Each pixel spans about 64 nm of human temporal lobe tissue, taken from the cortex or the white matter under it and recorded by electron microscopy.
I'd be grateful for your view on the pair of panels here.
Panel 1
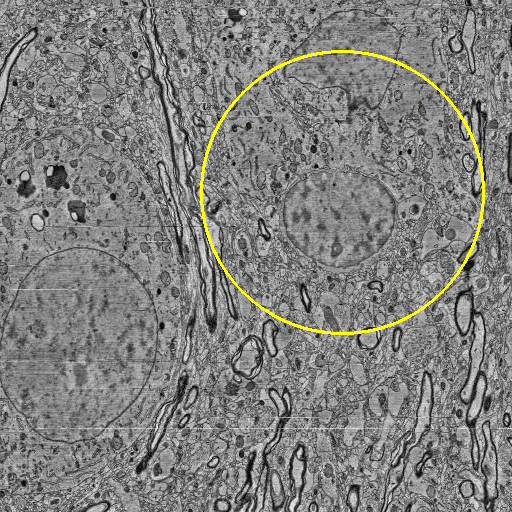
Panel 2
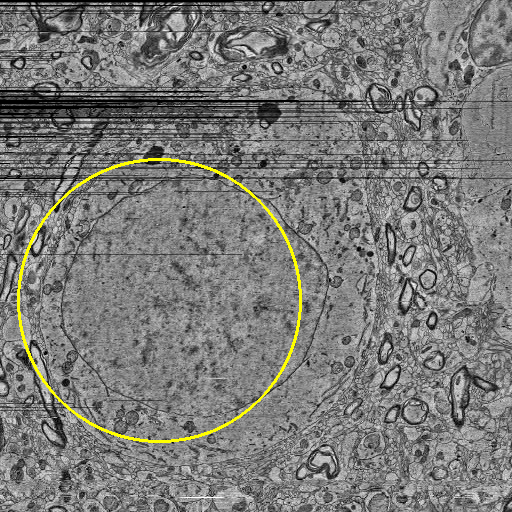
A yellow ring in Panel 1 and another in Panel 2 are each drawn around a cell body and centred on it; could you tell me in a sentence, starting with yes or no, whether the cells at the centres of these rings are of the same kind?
No, they are two kinds of cell.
